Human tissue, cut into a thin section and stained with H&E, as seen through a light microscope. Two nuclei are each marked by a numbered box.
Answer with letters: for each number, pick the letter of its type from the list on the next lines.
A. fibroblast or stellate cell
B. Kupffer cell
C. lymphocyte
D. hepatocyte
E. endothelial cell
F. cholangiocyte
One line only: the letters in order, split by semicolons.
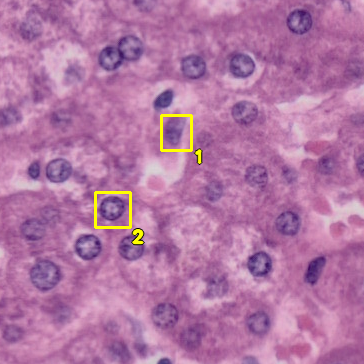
B; D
